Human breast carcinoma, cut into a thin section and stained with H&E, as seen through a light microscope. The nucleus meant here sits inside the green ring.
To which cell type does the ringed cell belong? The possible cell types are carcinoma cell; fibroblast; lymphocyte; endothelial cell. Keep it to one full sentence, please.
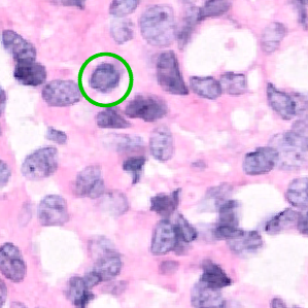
Placed in its cell category, the ringed cell is a carcinoma cell.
